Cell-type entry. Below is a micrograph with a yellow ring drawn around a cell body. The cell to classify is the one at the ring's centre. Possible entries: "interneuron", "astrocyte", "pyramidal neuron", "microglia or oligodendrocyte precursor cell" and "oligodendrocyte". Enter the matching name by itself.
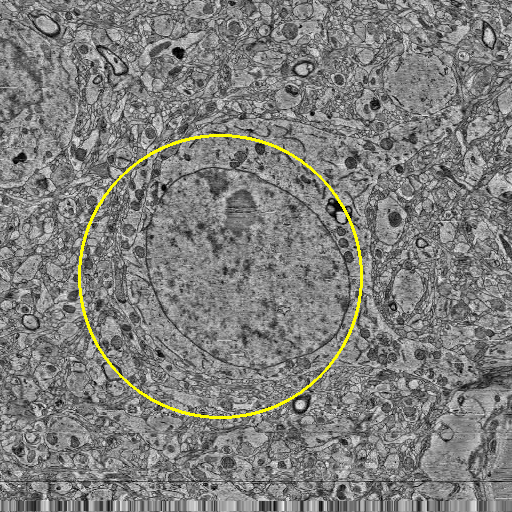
pyramidal neuron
